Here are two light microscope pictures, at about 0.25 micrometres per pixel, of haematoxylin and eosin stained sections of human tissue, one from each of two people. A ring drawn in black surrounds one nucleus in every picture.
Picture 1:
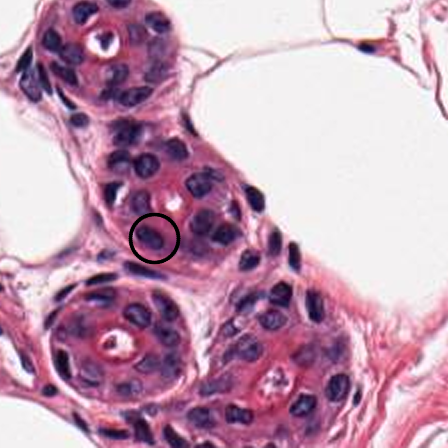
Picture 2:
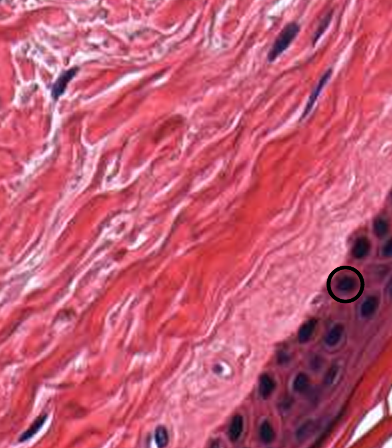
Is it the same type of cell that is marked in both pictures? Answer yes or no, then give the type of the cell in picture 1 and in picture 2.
No, the first is a sweat gland cell and the second a keratinocyte.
